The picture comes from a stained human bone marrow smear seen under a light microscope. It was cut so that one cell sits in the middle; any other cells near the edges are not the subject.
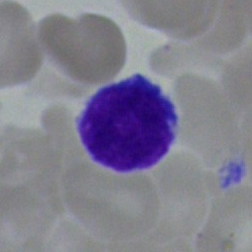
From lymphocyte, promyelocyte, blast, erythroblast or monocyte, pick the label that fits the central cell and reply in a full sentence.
As for the central cell, it is a lymphocyte.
